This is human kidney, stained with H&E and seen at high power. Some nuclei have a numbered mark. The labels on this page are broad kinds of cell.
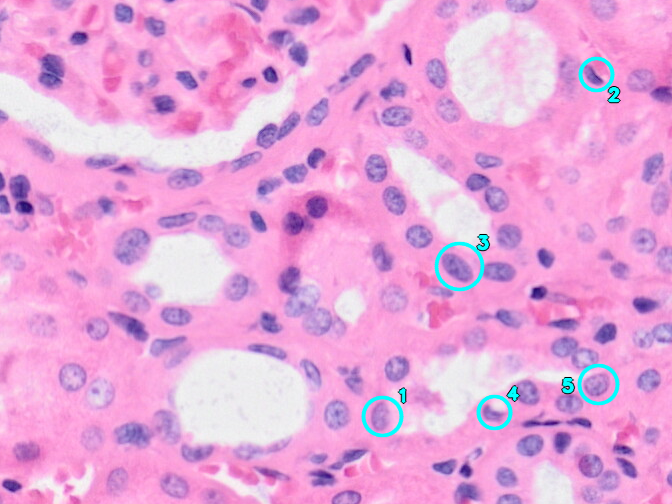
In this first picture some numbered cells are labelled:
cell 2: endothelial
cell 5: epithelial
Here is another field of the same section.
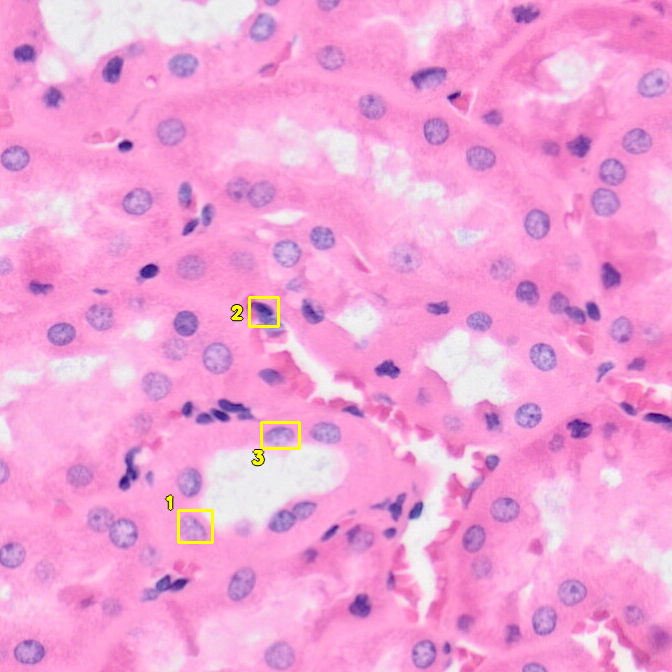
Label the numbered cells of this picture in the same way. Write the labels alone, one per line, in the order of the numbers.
epithelial
endothelial
epithelial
